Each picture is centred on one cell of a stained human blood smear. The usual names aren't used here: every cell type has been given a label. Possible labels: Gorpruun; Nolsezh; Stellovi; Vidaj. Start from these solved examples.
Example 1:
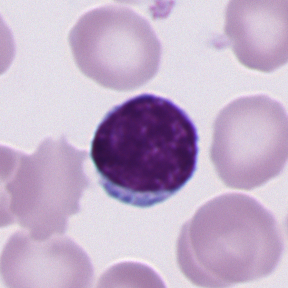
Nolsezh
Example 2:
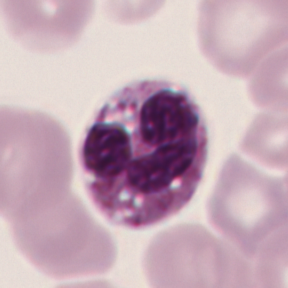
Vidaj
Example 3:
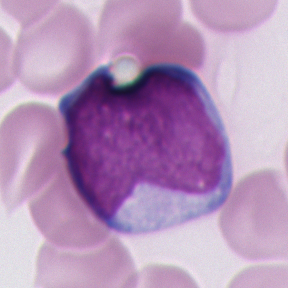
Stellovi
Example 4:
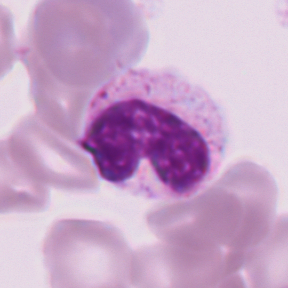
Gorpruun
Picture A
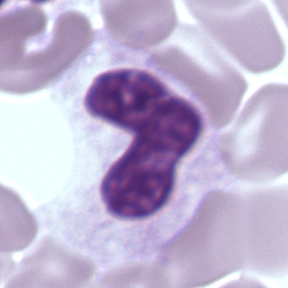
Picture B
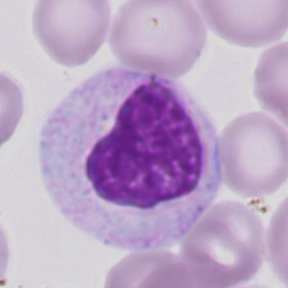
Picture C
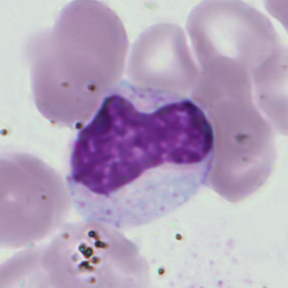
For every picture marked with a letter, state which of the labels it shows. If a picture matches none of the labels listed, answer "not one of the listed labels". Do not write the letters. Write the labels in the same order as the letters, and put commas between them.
Gorpruun, not one of the listed labels, not one of the listed labels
